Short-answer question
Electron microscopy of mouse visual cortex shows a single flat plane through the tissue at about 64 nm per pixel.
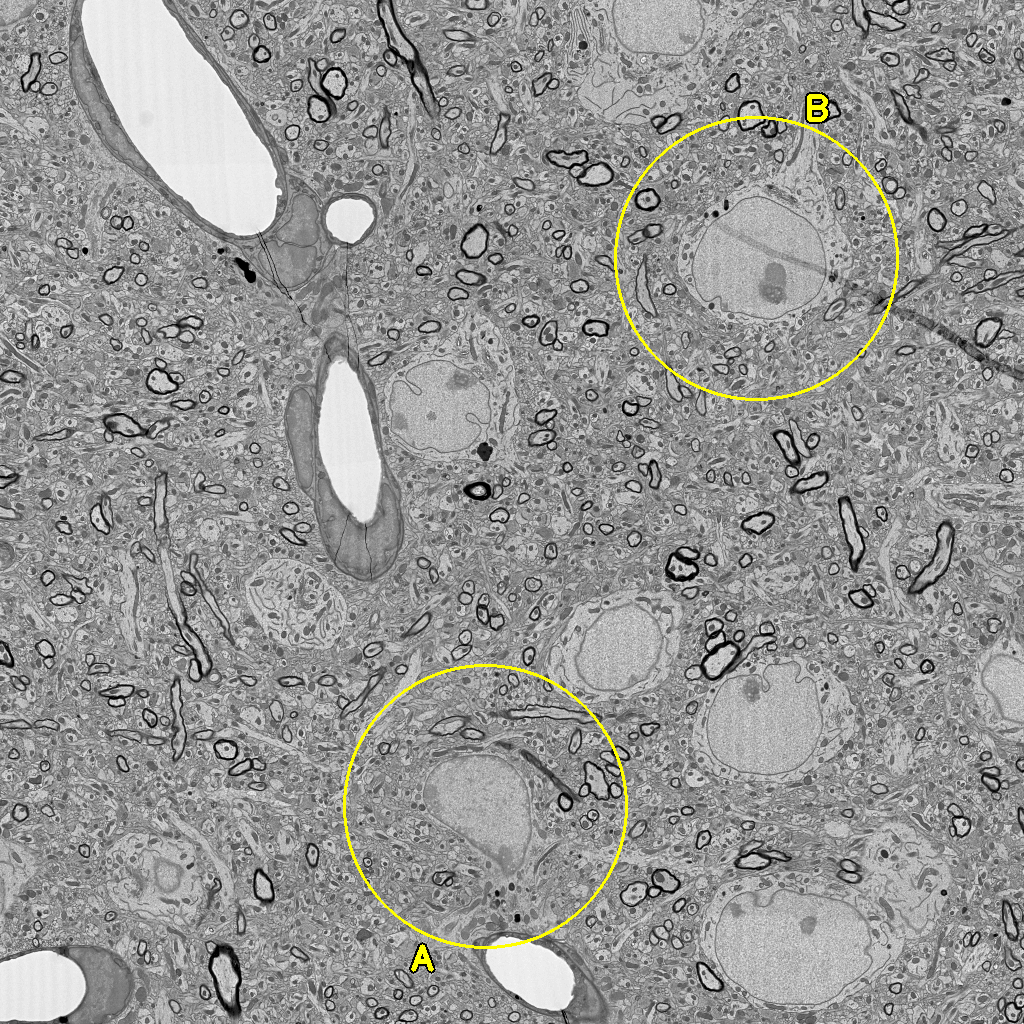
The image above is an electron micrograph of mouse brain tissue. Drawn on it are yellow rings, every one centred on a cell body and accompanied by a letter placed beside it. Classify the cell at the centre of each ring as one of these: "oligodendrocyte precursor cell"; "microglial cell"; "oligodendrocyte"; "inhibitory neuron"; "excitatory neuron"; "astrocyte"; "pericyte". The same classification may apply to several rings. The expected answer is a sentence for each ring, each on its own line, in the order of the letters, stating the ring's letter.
The cell at ring A is classified as an astrocyte.
The cell at ring B is classified as an excitatory neuron.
